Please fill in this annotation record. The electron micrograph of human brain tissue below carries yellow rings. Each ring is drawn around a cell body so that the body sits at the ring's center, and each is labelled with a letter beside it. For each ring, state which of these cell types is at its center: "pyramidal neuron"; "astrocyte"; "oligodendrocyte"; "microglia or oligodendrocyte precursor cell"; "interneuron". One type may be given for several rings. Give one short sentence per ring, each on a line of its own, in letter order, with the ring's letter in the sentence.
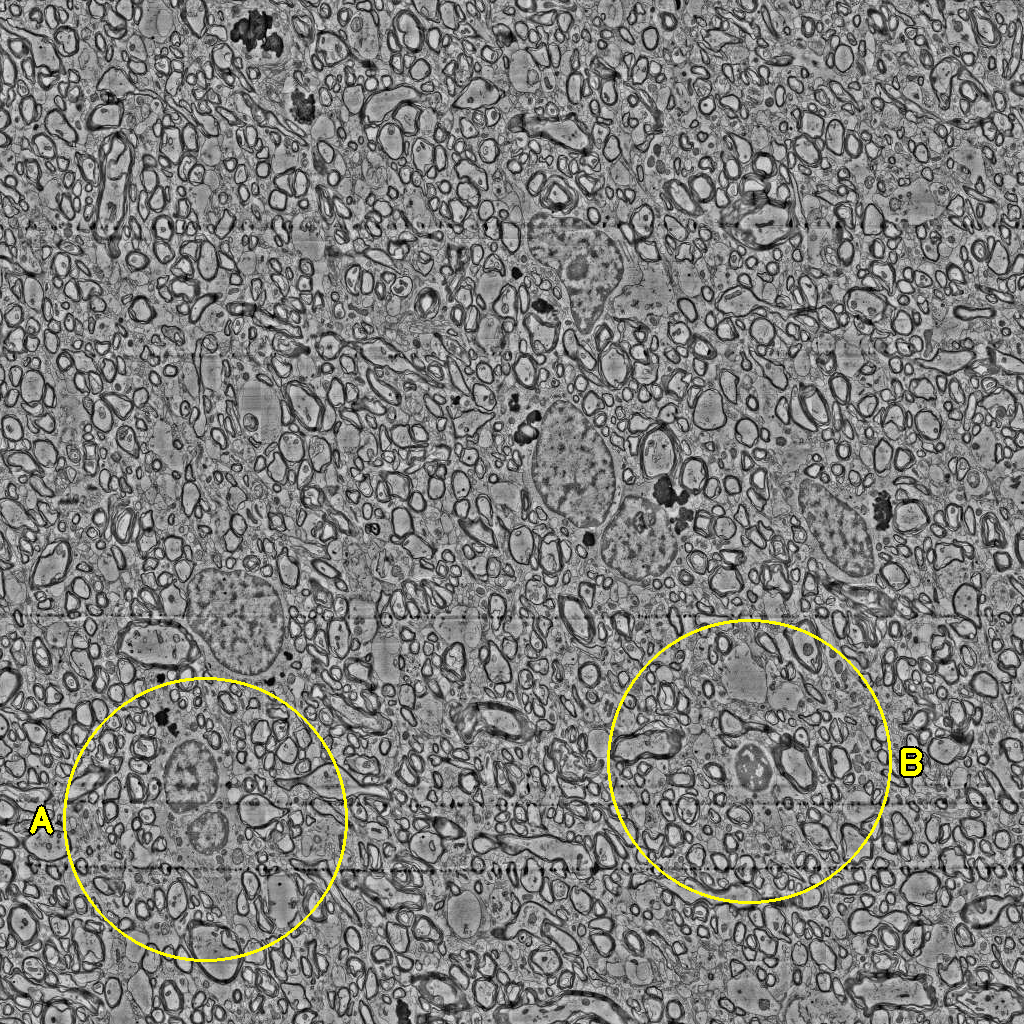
Ring A is drawn around an oligodendrocyte.
Ring B is drawn around a microglial cell or oligodendrocyte precursor cell.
